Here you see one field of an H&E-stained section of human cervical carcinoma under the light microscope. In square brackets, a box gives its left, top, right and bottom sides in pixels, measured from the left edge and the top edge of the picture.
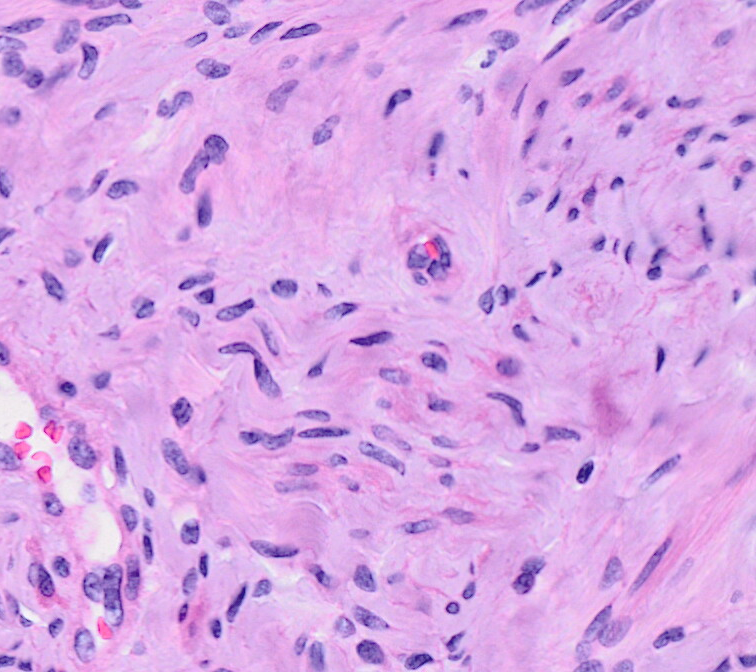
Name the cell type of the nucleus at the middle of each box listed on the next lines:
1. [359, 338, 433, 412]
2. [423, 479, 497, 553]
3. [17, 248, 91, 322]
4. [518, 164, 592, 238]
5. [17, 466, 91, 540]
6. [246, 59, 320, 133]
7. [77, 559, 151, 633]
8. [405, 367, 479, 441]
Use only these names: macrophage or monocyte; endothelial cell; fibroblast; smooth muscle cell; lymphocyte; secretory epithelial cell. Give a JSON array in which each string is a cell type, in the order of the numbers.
["smooth muscle cell", "smooth muscle cell", "fibroblast", "fibroblast", "endothelial cell", "fibroblast", "endothelial cell", "smooth muscle cell"]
